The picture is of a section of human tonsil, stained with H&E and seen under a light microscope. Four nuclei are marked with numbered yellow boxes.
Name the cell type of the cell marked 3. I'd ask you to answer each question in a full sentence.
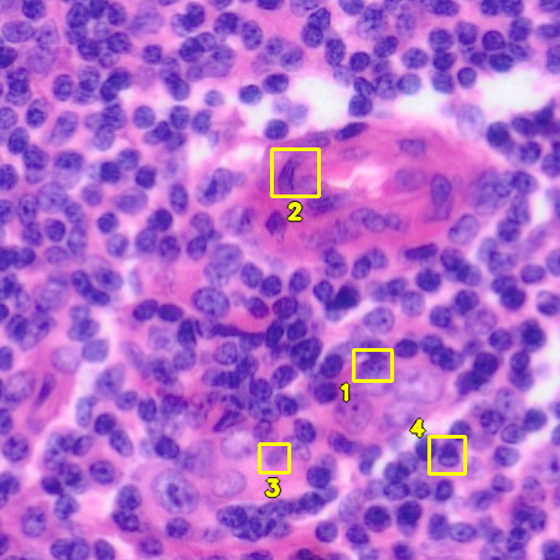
The cell marked with number 3 is an endothelial cell.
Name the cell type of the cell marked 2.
Nucleus 2 in this section belongs to an endothelial cell.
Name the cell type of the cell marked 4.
Among the marked cells, number 4 is a small lymphocyte.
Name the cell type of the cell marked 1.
The cell assigned the number 1 is an endothelial cell.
